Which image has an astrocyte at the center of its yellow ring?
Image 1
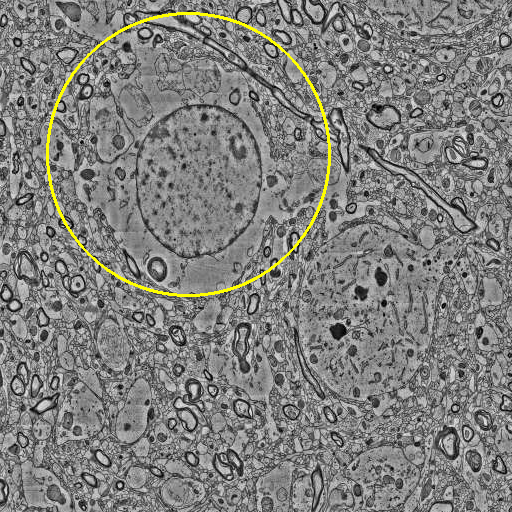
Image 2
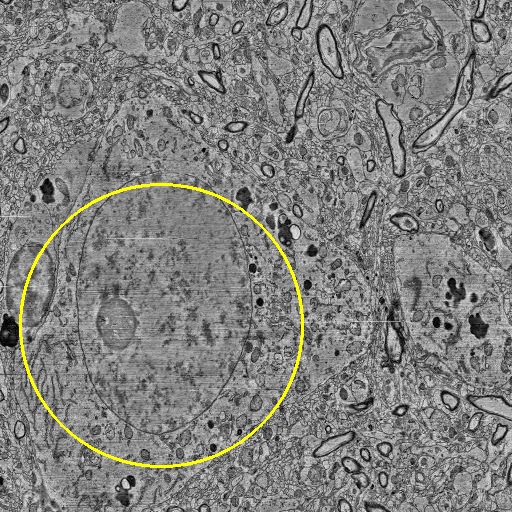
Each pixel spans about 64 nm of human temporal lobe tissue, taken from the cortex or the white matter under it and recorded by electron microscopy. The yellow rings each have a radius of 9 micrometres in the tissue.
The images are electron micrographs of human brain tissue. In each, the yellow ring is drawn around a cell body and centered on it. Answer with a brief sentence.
It is at the center of the ring in Image 1.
